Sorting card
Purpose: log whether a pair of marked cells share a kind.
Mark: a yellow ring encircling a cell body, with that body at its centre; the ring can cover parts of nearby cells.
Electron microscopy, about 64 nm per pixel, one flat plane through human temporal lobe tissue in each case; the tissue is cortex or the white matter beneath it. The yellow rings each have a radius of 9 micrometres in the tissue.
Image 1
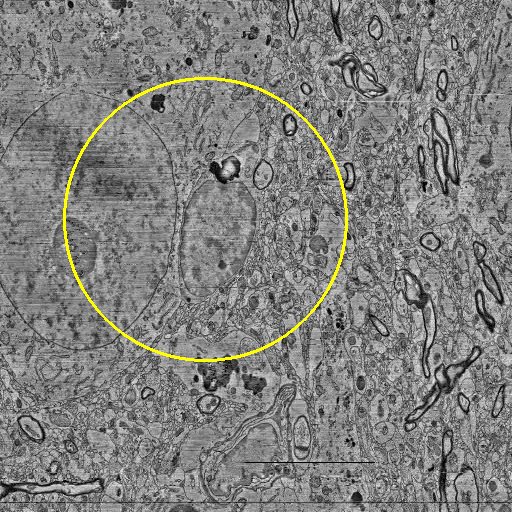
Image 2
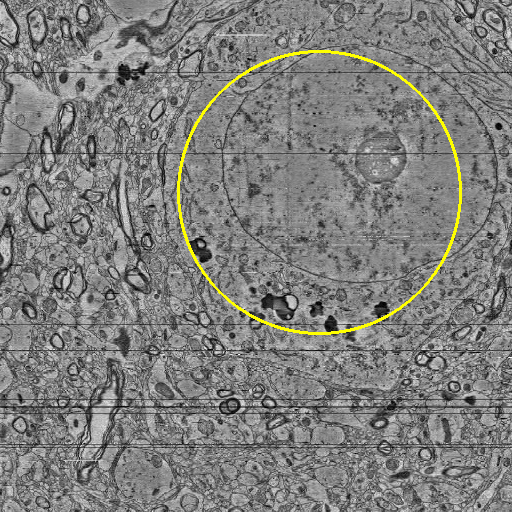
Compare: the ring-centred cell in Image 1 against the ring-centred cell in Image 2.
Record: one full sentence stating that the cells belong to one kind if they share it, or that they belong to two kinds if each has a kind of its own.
Across Images 1 and 2, the two ring-centred cells belong to two kinds.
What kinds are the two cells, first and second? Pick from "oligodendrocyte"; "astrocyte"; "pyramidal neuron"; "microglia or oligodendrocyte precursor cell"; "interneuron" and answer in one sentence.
The second picture holds a pyramidal neuron in its ring, and the first holds an oligodendrocyte.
